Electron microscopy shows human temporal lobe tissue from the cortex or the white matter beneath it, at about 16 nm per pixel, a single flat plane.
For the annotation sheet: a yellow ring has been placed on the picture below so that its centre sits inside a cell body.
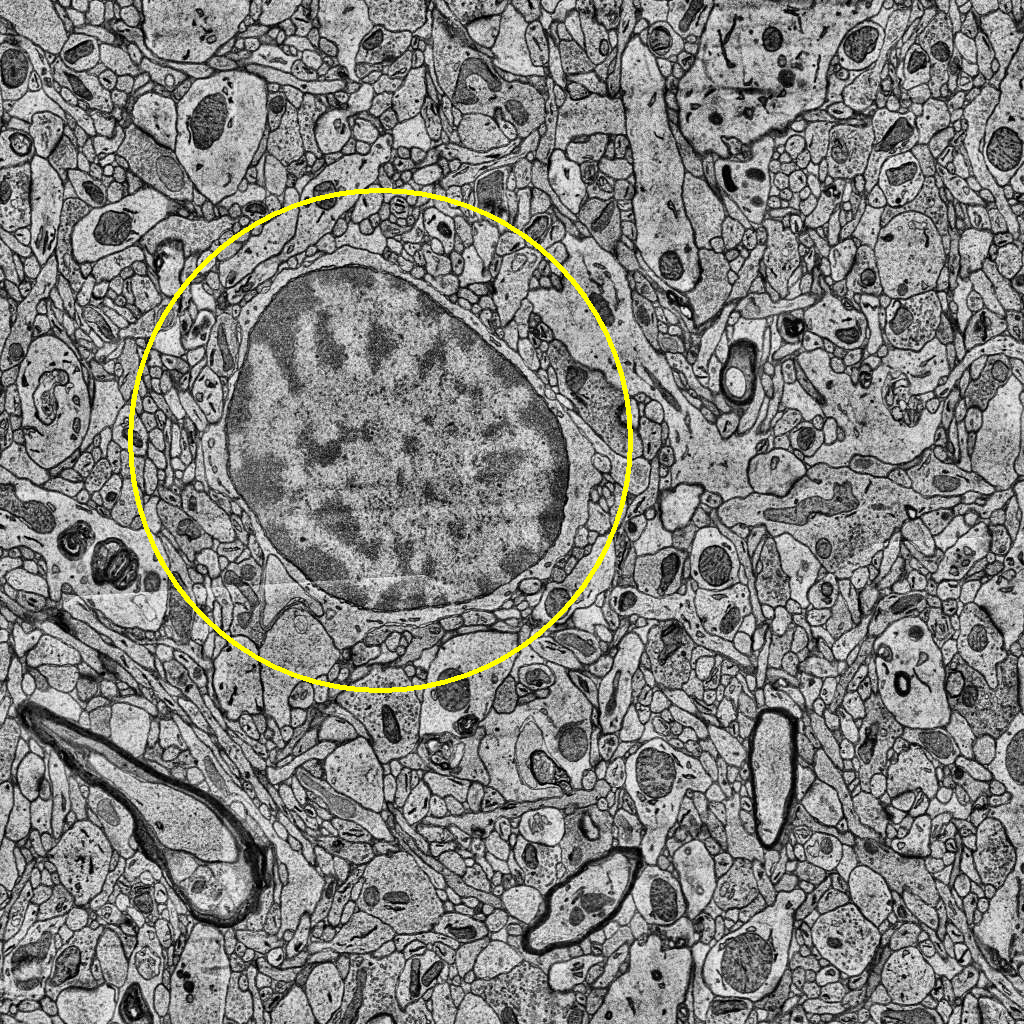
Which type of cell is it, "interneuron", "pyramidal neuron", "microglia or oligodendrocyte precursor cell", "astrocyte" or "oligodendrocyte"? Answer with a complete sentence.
The cell at the ring's centre is a microglial cell or oligodendrocyte precursor cell.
